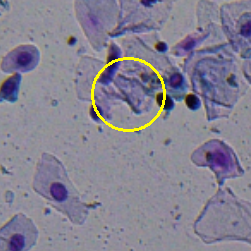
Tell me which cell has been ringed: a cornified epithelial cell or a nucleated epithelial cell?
It is a cornified epithelial cell.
